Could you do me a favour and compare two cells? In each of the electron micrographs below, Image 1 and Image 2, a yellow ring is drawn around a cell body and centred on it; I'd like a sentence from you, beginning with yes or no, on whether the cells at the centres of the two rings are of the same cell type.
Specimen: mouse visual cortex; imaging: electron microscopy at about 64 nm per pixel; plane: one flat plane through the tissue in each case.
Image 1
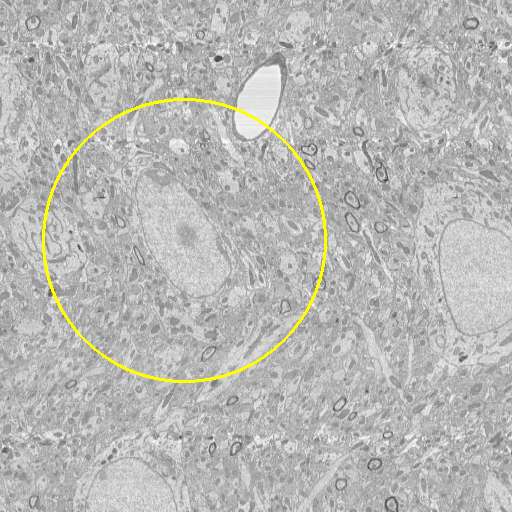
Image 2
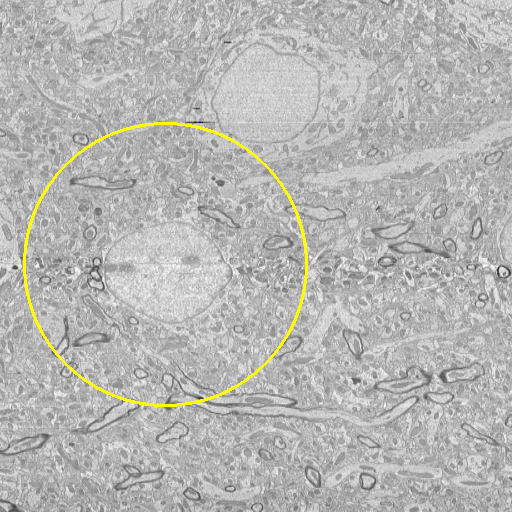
Yes, the two cells are of the same cell type.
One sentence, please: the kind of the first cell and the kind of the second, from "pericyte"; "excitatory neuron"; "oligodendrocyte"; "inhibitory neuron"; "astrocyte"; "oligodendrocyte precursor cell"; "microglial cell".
Both the first and the second picture show an astrocyte in the ring.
